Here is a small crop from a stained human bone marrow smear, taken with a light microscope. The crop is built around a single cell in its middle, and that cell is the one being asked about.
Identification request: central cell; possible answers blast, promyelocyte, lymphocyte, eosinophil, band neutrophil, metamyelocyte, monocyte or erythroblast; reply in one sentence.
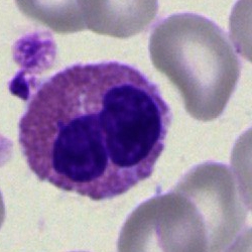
Whatever else lies nearby, the middle cell is an eosinophil.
